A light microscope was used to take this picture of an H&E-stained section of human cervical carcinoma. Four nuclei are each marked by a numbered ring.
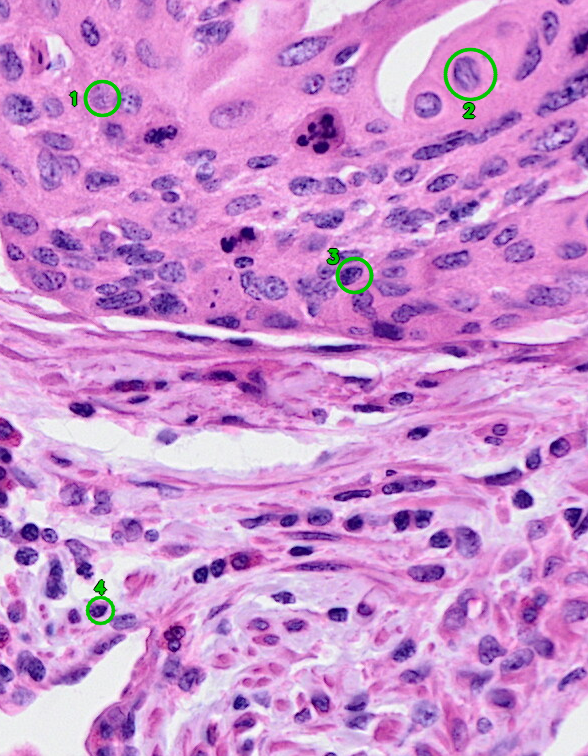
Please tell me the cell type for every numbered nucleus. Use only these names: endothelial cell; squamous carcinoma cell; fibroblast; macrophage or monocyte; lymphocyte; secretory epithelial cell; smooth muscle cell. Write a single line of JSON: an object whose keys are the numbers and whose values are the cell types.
{"1": "squamous carcinoma cell", "2": "squamous carcinoma cell", "3": "squamous carcinoma cell", "4": "lymphocyte"}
